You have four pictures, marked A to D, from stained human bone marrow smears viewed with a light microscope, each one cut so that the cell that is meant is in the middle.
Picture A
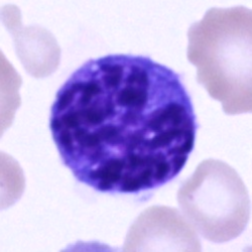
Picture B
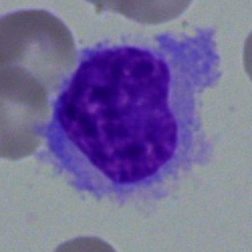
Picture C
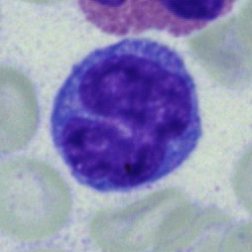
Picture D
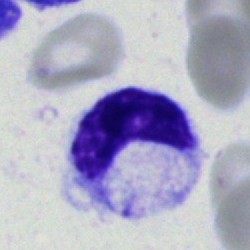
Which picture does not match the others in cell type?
B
